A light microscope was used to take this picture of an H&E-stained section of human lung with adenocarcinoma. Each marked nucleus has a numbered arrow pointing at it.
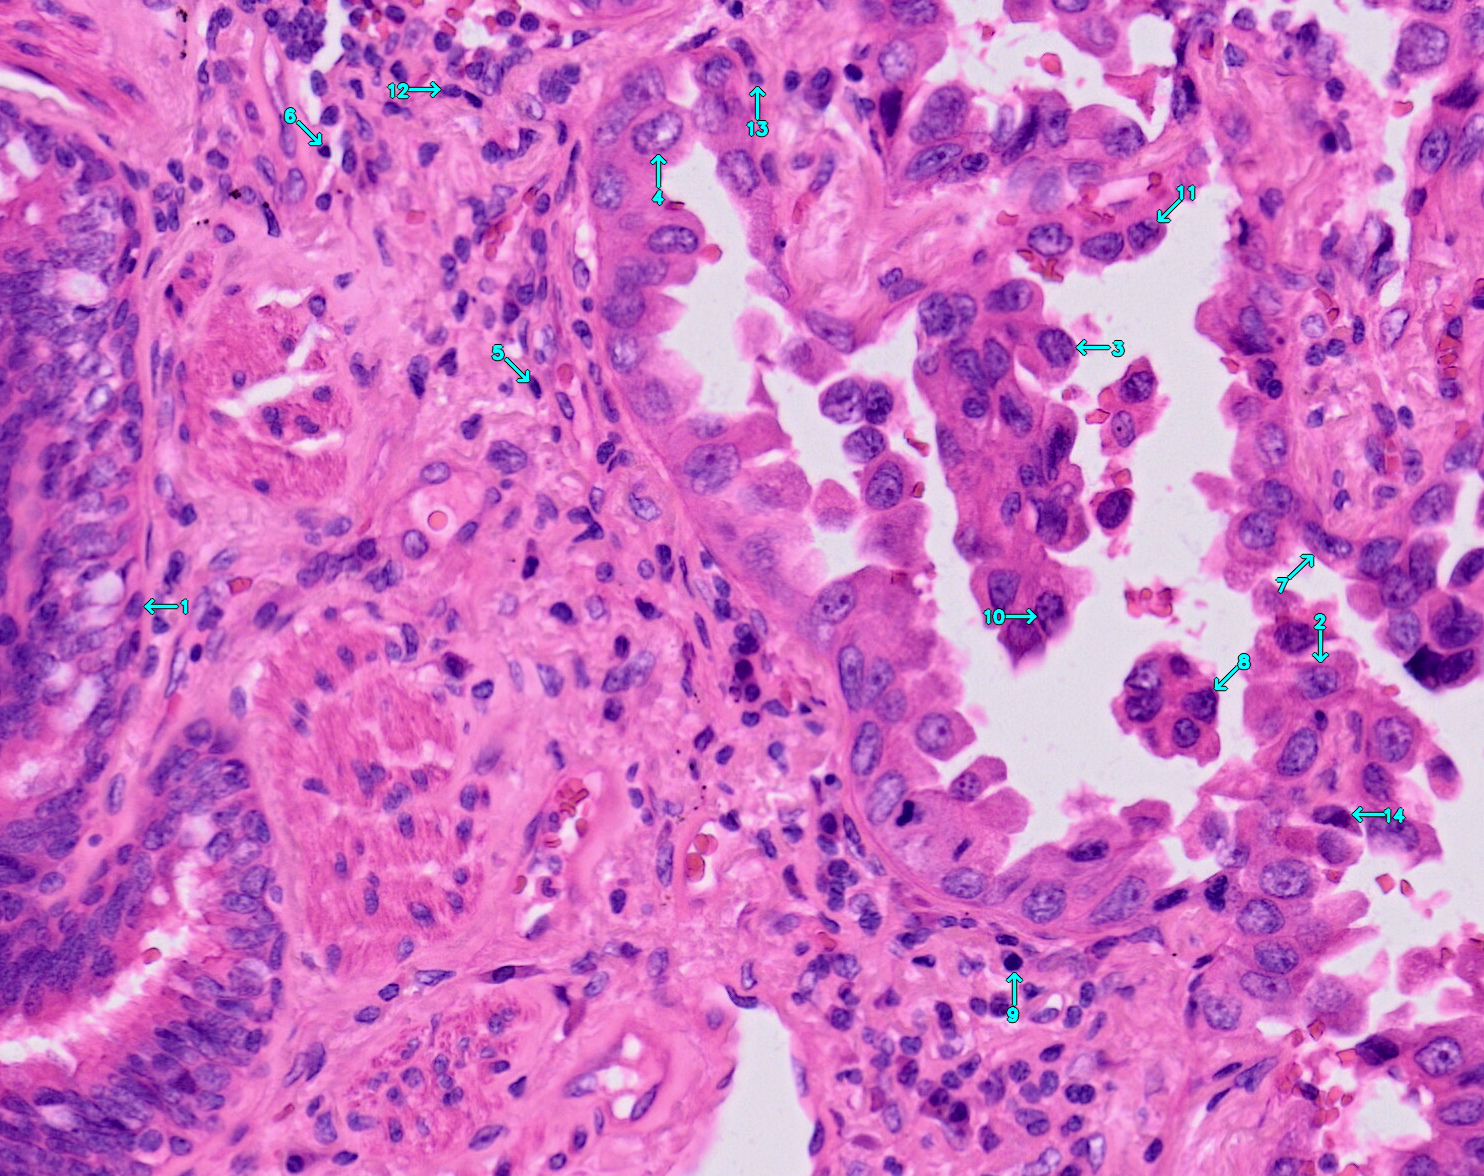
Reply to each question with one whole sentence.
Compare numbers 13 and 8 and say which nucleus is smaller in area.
Nucleus 13 covers less area, with nucleus 8 about 4 times as large.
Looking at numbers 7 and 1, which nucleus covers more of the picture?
It is nucleus 7, which covers about 2.5 times the area of nucleus 1.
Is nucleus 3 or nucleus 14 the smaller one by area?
The smaller nucleus is 14, and 3 covers roughly 1.5 times its area.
